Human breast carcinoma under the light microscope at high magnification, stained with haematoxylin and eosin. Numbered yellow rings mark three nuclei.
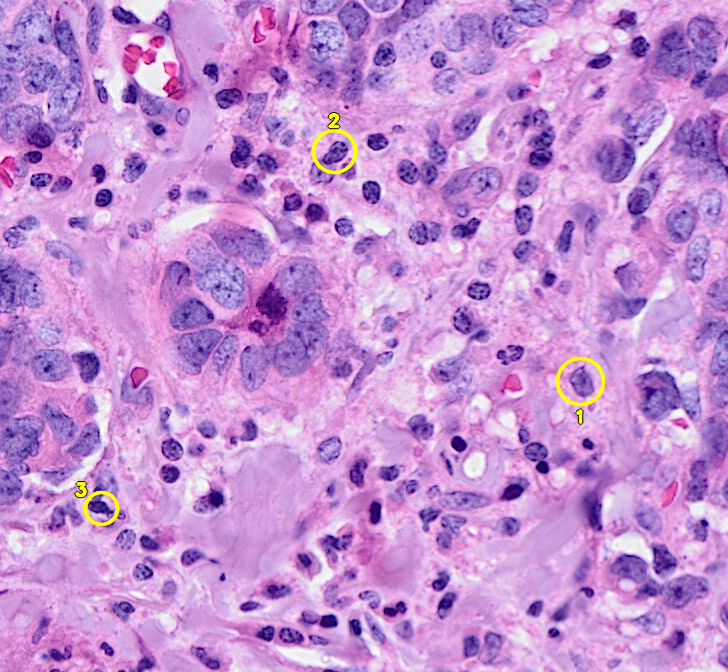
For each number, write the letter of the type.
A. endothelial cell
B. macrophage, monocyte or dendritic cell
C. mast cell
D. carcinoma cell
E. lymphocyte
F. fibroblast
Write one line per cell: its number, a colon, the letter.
1: B
2: E
3: E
